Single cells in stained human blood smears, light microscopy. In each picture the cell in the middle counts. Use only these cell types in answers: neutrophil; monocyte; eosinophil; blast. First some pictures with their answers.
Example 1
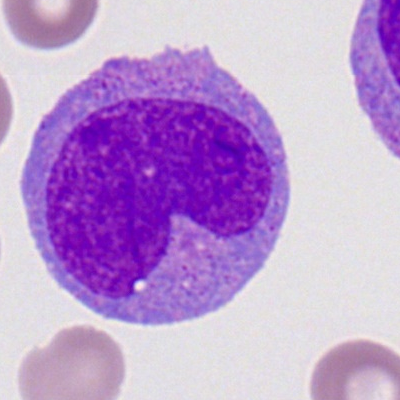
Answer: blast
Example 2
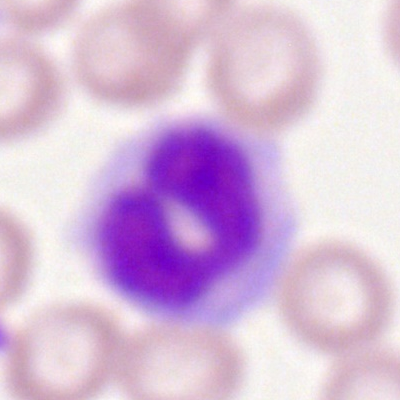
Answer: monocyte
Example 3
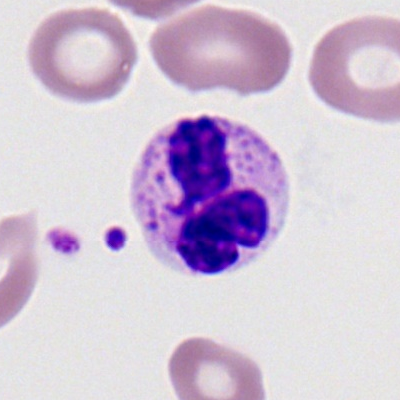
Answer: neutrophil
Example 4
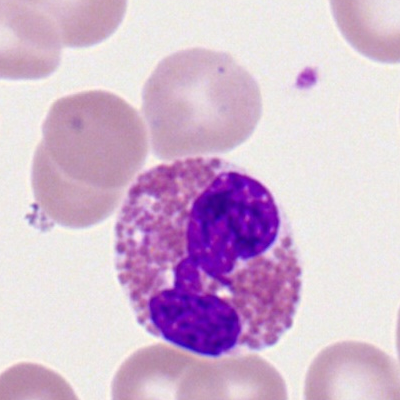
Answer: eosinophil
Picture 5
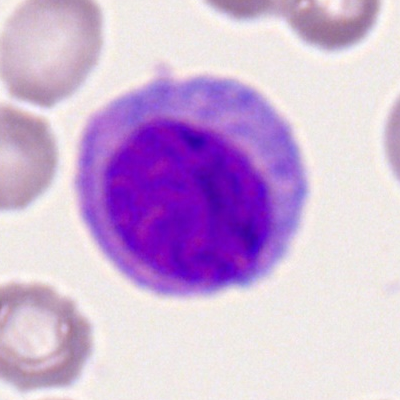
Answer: monocyte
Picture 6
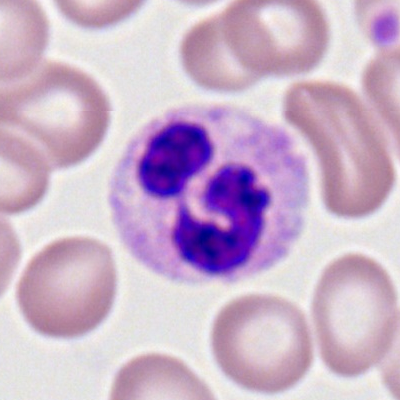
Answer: neutrophil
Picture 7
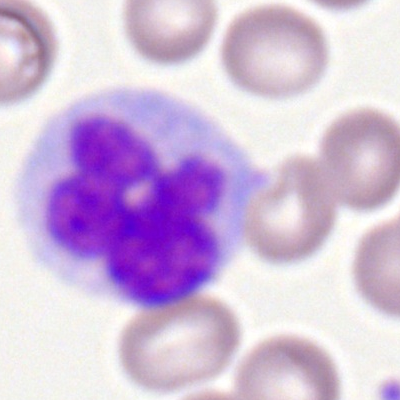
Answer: monocyte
